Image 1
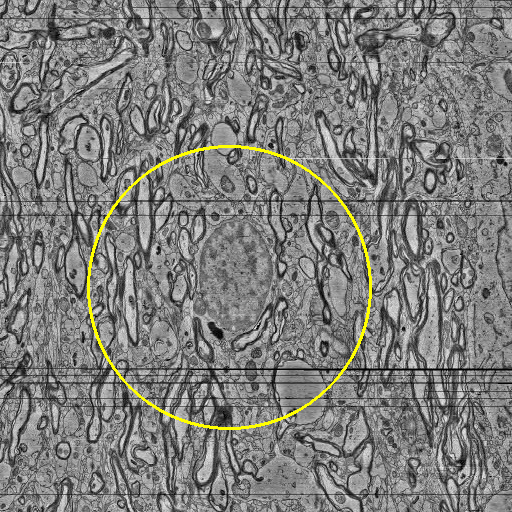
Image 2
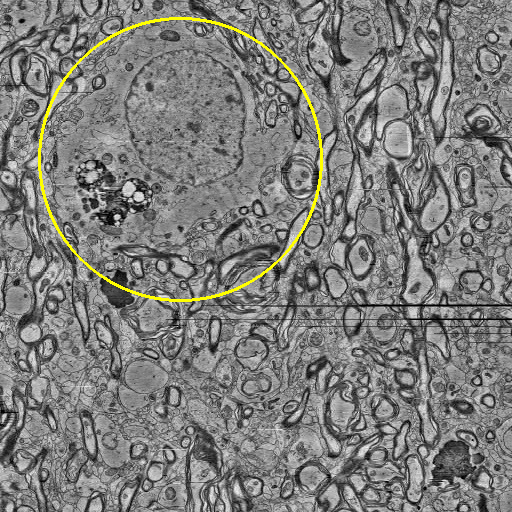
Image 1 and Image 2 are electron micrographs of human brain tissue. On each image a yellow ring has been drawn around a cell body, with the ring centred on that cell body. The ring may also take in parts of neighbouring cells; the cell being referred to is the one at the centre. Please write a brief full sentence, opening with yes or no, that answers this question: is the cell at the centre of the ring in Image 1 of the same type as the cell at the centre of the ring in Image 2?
No, the two cells are of two types.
